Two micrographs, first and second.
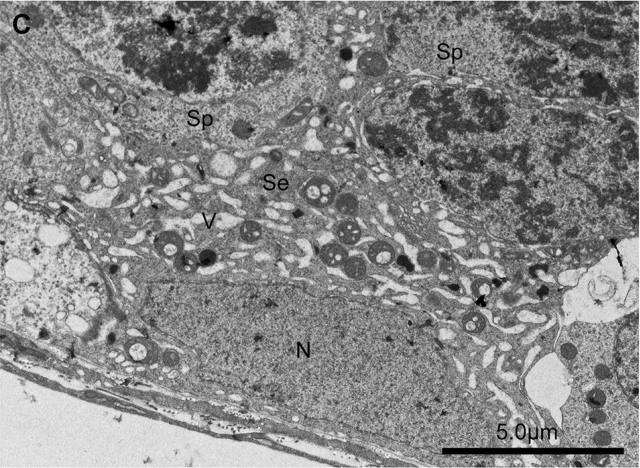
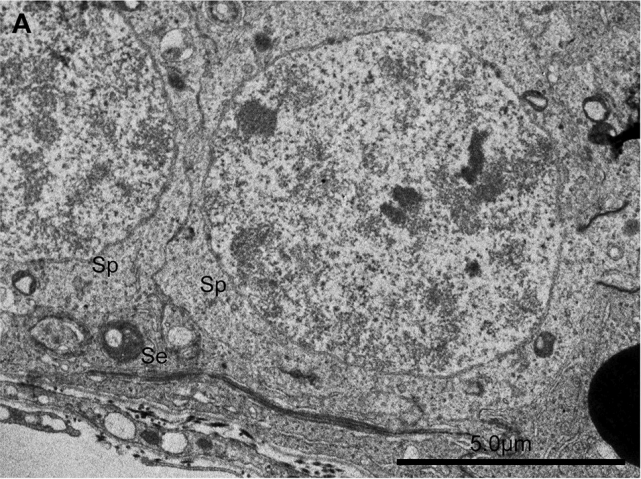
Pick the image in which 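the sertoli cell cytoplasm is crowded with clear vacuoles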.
The first image.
